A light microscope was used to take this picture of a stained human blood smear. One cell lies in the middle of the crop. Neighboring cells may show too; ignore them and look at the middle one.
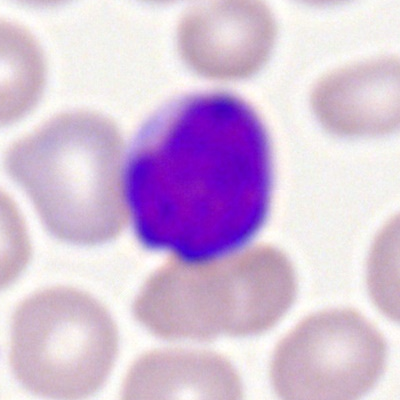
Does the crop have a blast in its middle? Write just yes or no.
yes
